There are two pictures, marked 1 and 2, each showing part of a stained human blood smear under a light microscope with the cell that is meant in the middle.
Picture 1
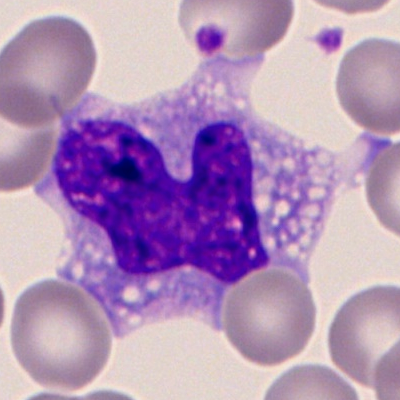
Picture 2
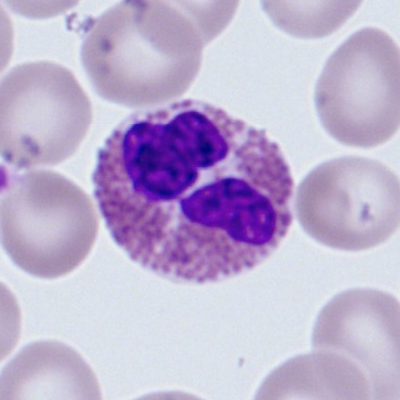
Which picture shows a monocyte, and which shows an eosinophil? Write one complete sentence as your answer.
It is picture 1 that shows a monocyte, and picture 2 that shows an eosinophil.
